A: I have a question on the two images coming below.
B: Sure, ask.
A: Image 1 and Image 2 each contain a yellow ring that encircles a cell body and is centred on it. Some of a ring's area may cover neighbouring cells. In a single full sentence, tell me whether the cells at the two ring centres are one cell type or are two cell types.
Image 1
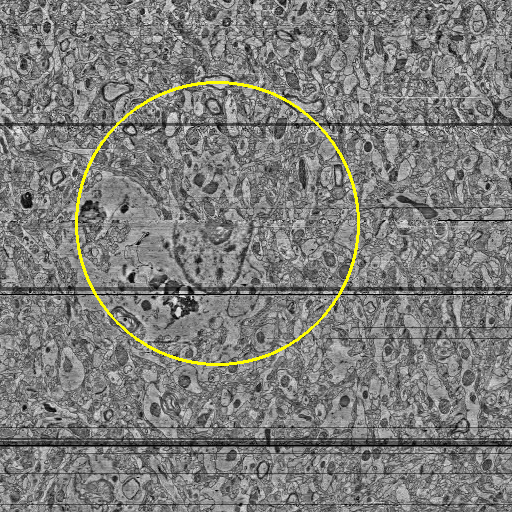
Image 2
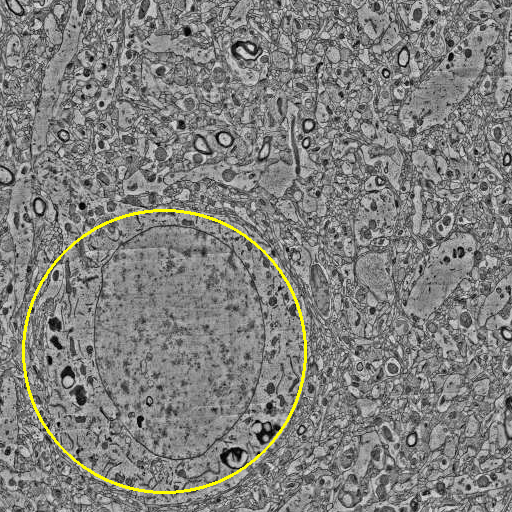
As for the ring-centre cells, the one in Image 1 and the one in Image 2 are two cell types.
